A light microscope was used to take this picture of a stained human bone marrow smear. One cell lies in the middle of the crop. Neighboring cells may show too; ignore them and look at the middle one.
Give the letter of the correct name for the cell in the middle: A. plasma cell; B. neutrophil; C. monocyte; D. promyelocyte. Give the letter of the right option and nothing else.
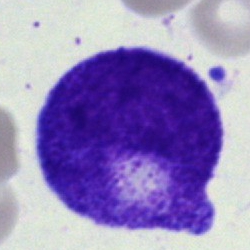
D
